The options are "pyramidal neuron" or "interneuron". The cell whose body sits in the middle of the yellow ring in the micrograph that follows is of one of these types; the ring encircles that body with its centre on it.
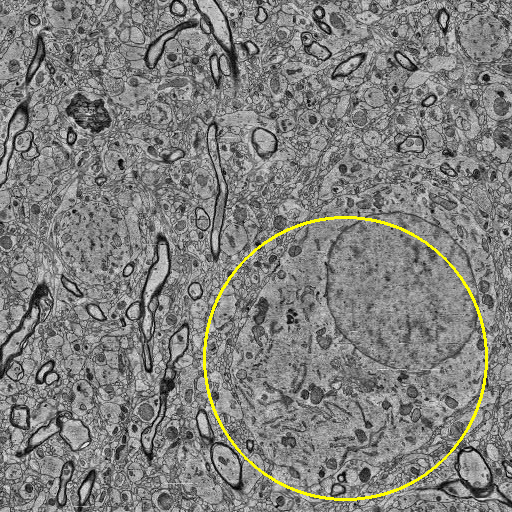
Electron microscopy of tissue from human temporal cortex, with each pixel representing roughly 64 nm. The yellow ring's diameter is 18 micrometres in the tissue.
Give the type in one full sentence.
Going by the micrograph, the cell centred in the yellow ring is an interneuron.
